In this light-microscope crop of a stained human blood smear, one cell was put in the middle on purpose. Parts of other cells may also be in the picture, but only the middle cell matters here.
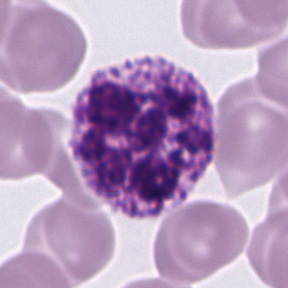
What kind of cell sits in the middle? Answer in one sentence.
The middle cell in this particular crop is a basophil.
